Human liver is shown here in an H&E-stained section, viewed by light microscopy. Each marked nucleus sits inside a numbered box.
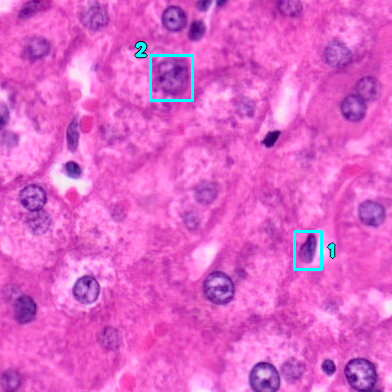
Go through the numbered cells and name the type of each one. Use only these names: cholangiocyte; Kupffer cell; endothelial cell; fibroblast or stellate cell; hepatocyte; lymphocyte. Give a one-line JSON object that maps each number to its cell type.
{"1": "endothelial cell", "2": "hepatocyte"}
